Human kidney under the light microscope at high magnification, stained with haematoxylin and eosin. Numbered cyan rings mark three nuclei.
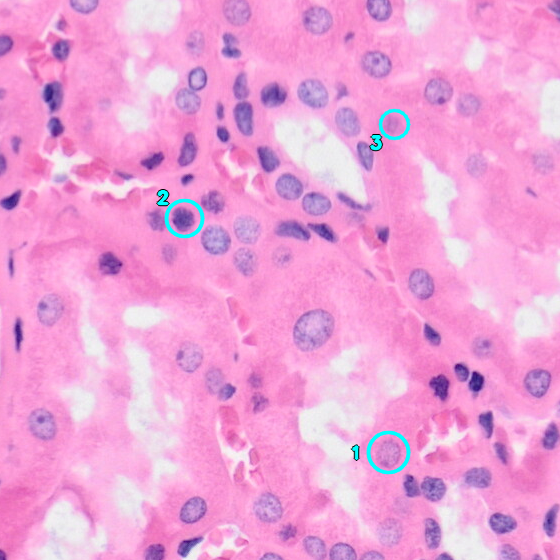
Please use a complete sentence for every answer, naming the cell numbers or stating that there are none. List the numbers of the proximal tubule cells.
When it comes to cells 1 and 3, they are proximal tubule cells.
